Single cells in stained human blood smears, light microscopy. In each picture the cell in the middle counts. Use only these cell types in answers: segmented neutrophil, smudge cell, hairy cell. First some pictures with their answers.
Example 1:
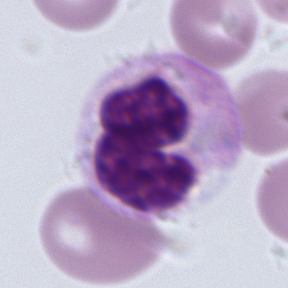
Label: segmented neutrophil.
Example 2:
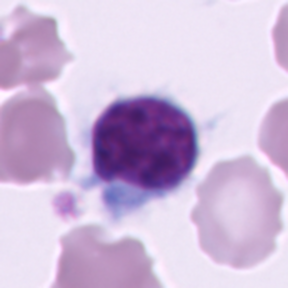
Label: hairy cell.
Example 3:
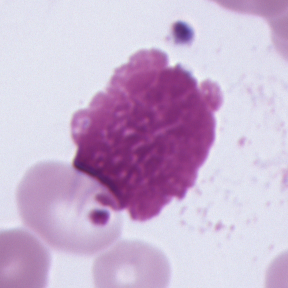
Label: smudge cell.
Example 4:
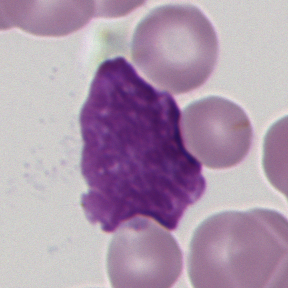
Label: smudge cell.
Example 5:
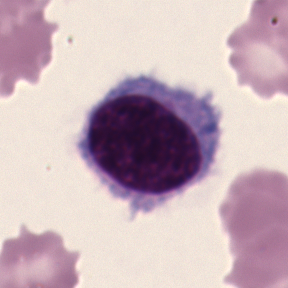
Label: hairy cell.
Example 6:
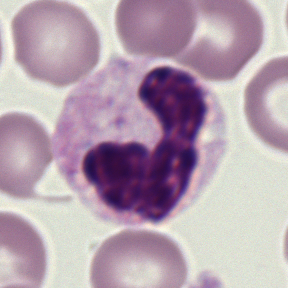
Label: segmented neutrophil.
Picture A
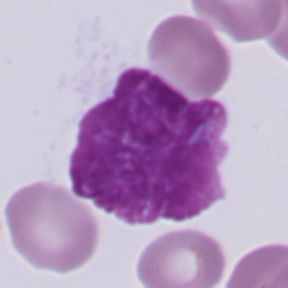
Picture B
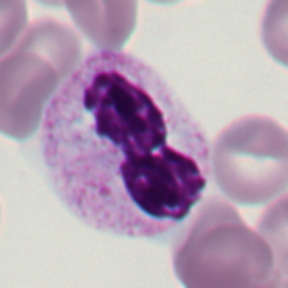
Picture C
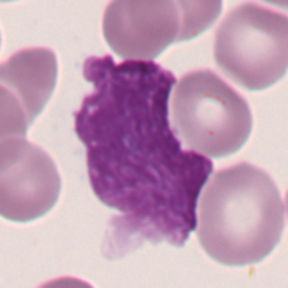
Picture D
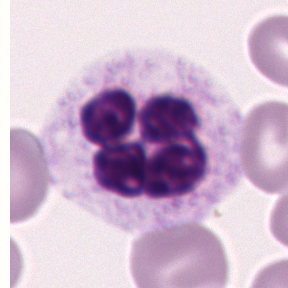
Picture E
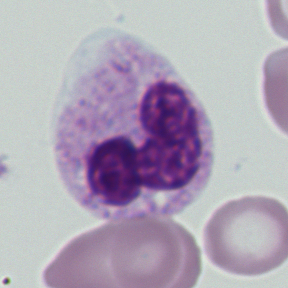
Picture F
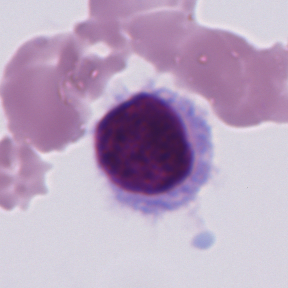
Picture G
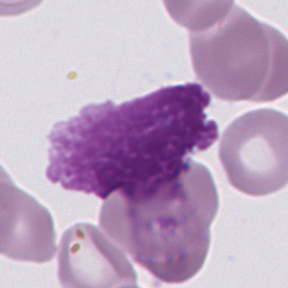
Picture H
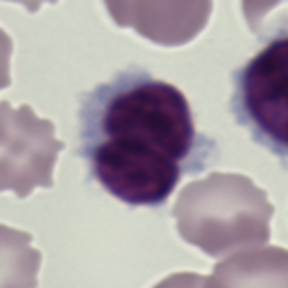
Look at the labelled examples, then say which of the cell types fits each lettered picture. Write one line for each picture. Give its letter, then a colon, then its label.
A: smudge cell.
B: segmented neutrophil.
C: smudge cell.
D: segmented neutrophil.
E: segmented neutrophil.
F: hairy cell.
G: smudge cell.
H: hairy cell.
